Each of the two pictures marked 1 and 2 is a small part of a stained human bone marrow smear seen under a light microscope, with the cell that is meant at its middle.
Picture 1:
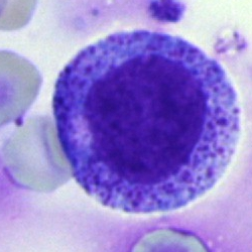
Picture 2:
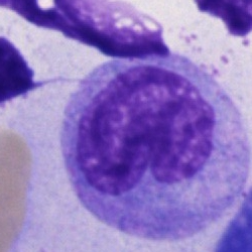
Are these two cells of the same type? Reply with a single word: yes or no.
no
